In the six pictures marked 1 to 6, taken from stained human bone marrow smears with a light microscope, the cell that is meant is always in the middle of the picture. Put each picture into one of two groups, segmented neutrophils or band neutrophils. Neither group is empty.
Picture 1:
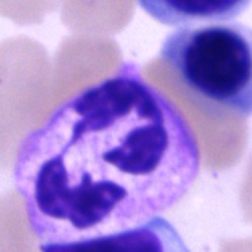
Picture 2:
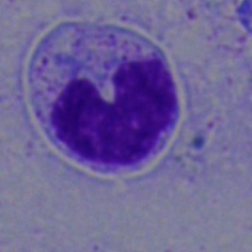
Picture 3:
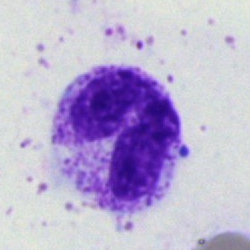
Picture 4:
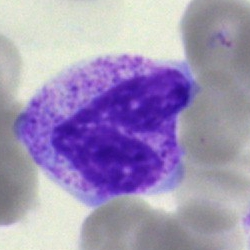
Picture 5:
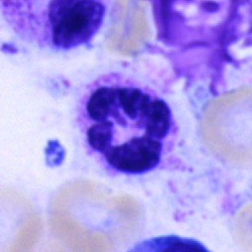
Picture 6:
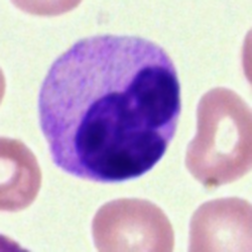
1: segmented neutrophil
2: band neutrophil
3: band neutrophil
4: band neutrophil
5: segmented neutrophil
6: band neutrophil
